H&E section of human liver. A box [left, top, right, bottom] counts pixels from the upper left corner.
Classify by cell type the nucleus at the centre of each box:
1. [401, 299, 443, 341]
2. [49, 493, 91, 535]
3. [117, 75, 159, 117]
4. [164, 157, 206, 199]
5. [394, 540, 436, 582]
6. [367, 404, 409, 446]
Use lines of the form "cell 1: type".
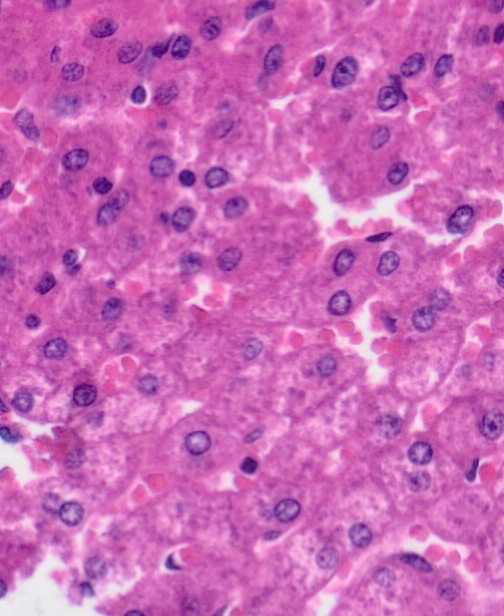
cell 1: hepatocyte
cell 2: hepatocyte
cell 3: lymphocyte
cell 4: lymphocyte
cell 5: Kupffer cell
cell 6: hepatocyte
